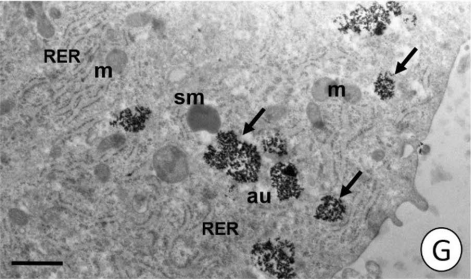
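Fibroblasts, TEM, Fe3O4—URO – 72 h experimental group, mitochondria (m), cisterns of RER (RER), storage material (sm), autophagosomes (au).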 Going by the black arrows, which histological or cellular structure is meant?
Electron-dense granules.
